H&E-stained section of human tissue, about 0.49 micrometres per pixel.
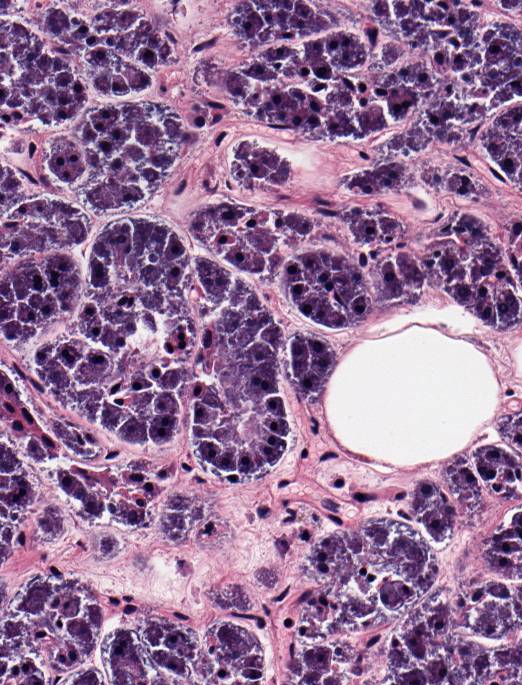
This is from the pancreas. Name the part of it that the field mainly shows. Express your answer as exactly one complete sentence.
The part of the tissue seen in this section is exocrine pancreas.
